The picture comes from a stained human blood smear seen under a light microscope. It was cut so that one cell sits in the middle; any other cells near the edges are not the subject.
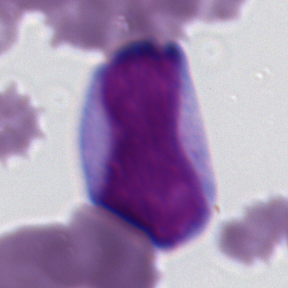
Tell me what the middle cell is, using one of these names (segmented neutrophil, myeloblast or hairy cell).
myeloblast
